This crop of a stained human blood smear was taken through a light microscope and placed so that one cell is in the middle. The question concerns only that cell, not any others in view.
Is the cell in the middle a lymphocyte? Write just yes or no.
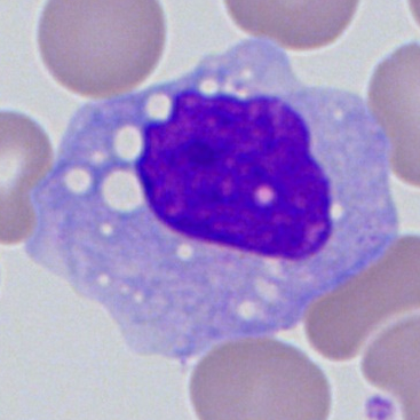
no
